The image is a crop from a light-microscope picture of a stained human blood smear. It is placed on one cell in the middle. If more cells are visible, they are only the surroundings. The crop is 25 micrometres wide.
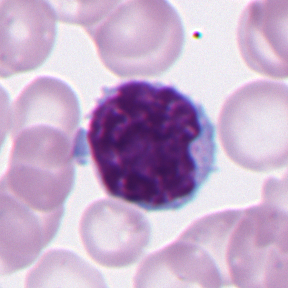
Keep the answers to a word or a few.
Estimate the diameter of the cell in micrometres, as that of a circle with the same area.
12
